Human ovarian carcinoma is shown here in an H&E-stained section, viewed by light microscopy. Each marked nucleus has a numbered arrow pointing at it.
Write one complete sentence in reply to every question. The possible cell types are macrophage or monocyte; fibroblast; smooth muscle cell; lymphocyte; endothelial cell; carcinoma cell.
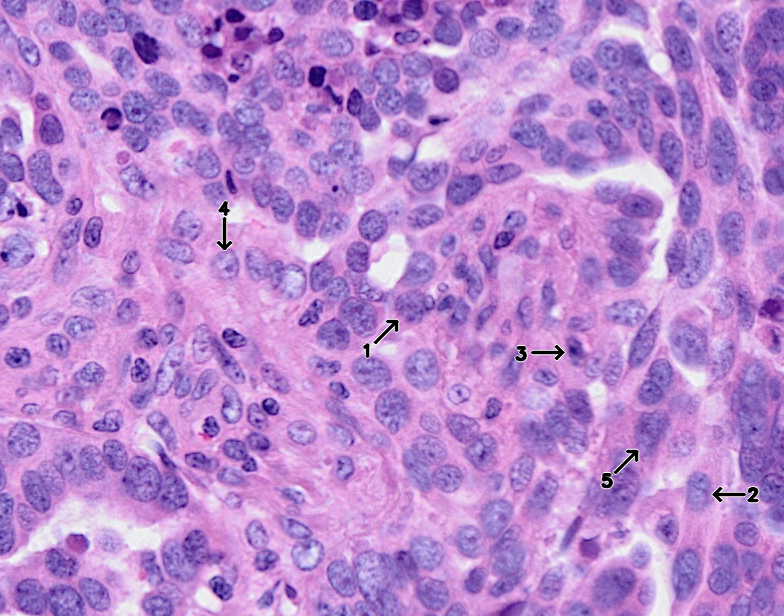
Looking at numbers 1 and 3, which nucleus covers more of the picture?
It is nucleus 1, which covers about 1.5 times the area of nucleus 3.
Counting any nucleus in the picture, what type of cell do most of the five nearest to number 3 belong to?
Most of the five nuclei nearest to number 3 are those of carcinoma cells.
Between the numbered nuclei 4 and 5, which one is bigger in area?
Of the two, number 5 is bigger and takes up about 1.5 times the area of number 4.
